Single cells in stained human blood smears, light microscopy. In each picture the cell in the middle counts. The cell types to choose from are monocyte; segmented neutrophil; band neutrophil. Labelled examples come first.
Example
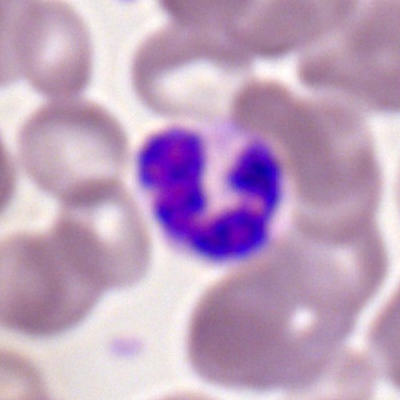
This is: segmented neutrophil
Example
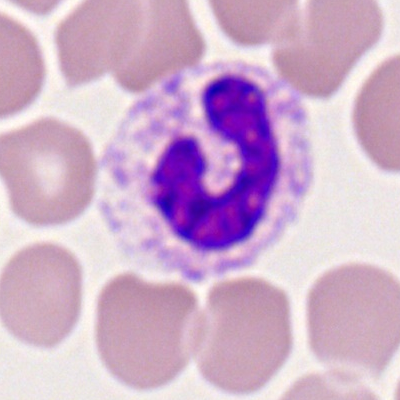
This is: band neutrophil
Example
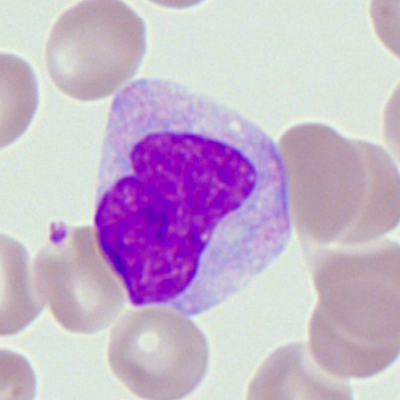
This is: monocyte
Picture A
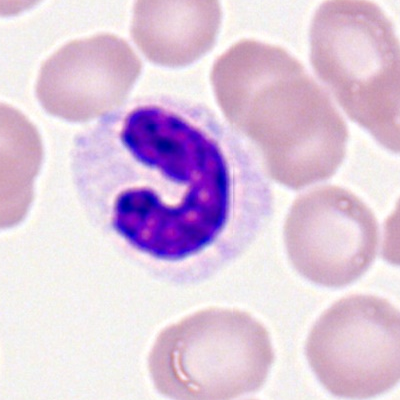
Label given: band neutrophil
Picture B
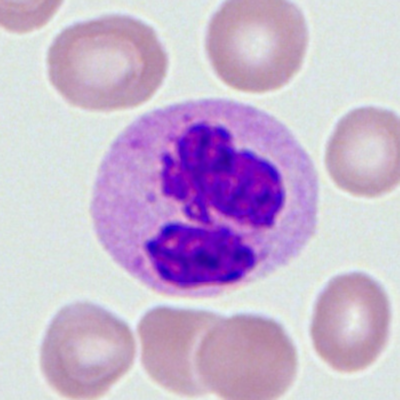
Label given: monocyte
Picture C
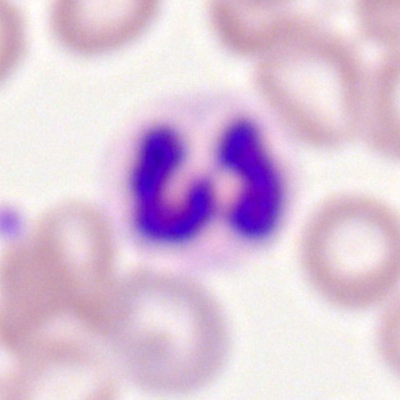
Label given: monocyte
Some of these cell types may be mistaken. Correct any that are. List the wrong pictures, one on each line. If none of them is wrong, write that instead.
B: not monocyte but segmented neutrophil
C: not monocyte but segmented neutrophil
